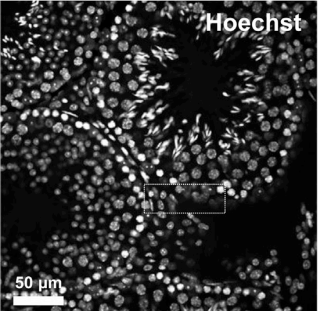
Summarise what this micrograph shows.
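Round germ cell nuclei fill the tubule wall in concentric layers, with a row of small bright nuclei along the outer edge. Toward the lumen lie clusters of small elongated, condensed heads of elongating spermatids. Narrow interstitial spaces between the tubules hold scattered nuclei.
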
